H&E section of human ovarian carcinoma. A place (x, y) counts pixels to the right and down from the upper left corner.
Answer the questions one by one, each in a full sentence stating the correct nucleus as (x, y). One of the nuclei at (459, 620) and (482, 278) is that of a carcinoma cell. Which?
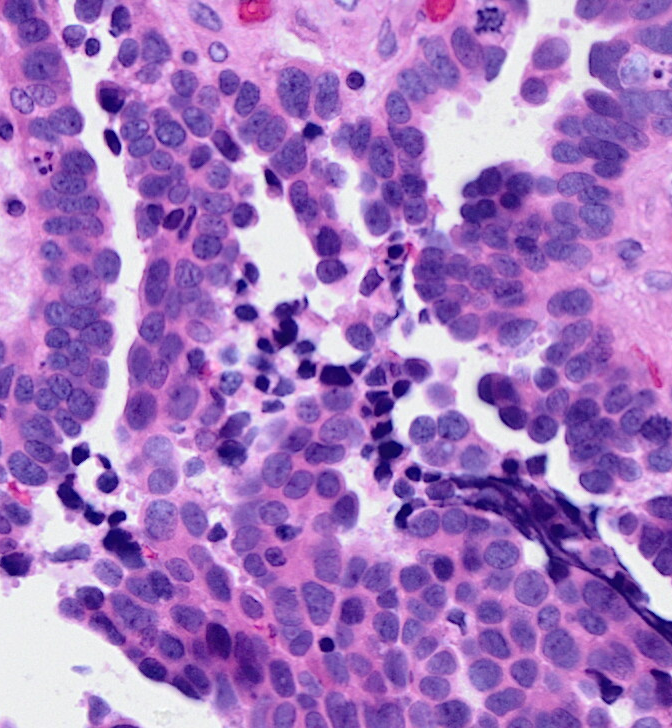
In this pair, the nucleus at (482, 278) belongs to a carcinoma cell.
